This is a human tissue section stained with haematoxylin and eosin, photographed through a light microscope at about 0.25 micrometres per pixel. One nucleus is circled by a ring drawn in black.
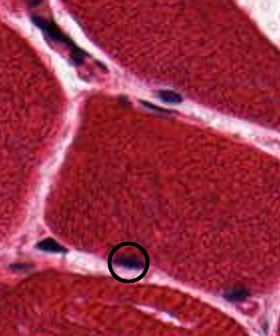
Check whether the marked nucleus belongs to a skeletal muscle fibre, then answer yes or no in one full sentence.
Yes, the nucleus picked out by the mark belongs to a skeletal muscle fibre.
